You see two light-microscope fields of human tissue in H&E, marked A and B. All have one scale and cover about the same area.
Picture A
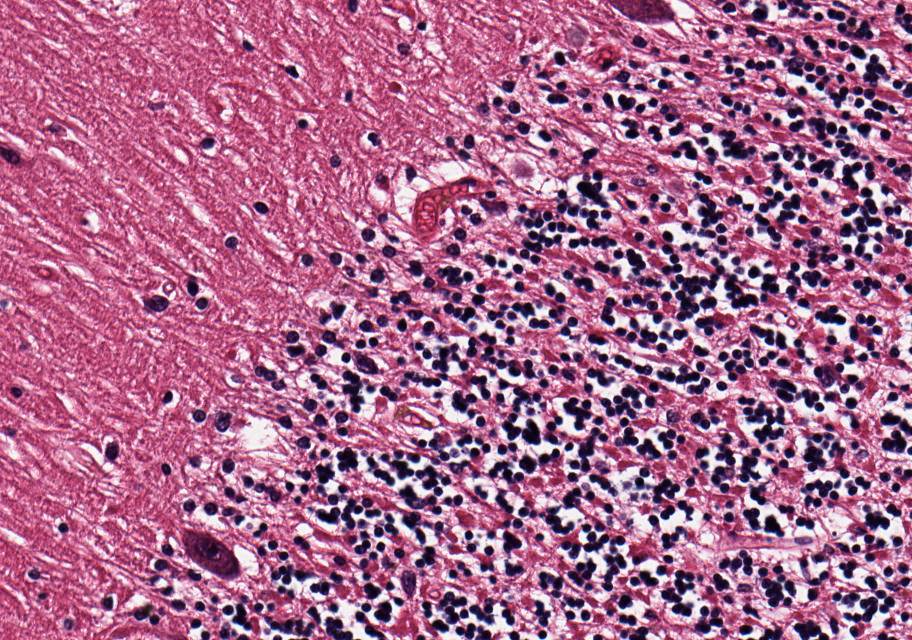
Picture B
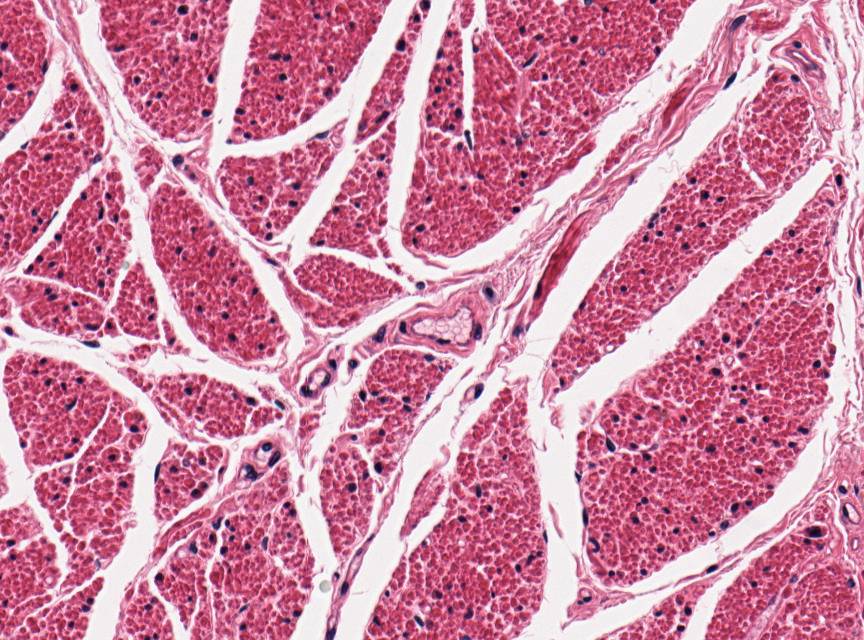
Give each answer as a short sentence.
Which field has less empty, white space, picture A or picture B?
It is picture A that stained tissue fills more completely.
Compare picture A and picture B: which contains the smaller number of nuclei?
There are fewer nuclei in picture B.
